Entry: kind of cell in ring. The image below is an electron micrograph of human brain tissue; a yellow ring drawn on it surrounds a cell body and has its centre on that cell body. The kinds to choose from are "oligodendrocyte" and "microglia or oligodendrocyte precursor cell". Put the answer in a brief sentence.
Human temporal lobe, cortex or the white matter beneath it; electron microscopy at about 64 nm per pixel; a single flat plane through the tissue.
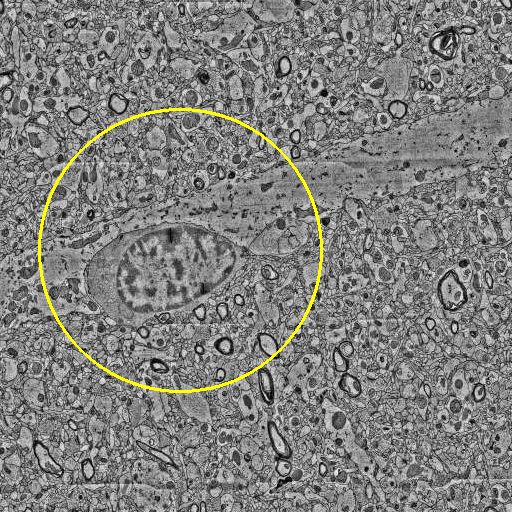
The ring has been drawn around an oligodendrocyte.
